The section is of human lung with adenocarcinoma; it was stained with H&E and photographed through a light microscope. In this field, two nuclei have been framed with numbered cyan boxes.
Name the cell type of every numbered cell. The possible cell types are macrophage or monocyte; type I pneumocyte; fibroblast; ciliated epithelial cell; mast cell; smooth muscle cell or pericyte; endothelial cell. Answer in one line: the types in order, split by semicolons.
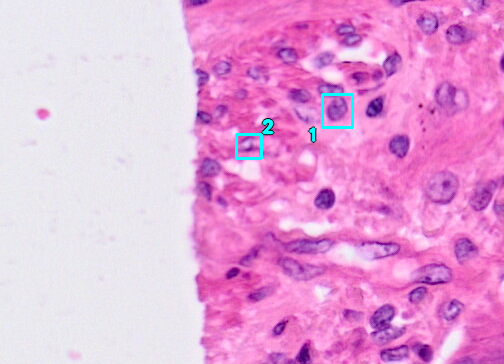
mast cell; smooth muscle cell or pericyte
